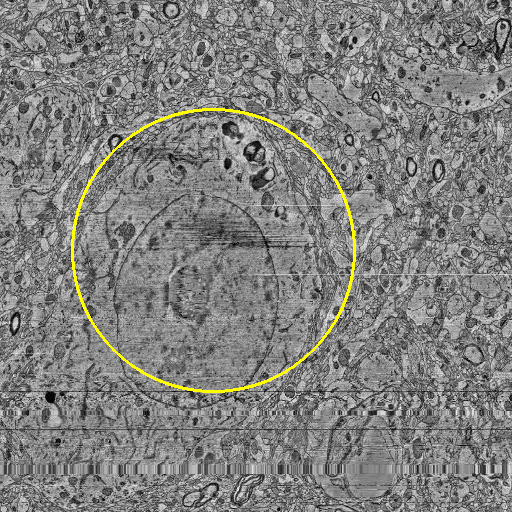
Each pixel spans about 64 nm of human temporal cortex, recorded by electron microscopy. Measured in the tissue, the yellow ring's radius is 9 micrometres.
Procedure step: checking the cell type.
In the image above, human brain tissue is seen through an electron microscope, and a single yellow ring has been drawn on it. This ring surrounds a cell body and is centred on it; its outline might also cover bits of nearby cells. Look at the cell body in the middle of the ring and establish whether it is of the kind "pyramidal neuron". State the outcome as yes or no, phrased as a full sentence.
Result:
Yes, the cell body at the ring's centre in the image is of the kind in question.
